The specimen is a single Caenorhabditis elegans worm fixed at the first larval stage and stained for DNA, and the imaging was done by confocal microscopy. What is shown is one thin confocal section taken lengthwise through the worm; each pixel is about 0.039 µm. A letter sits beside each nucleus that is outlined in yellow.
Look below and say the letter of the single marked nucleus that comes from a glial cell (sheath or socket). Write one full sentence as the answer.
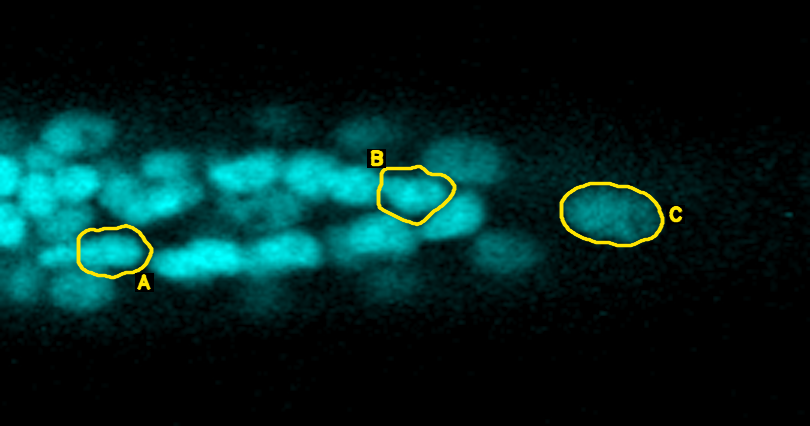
A is the nucleus of a glial cell (sheath or socket).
